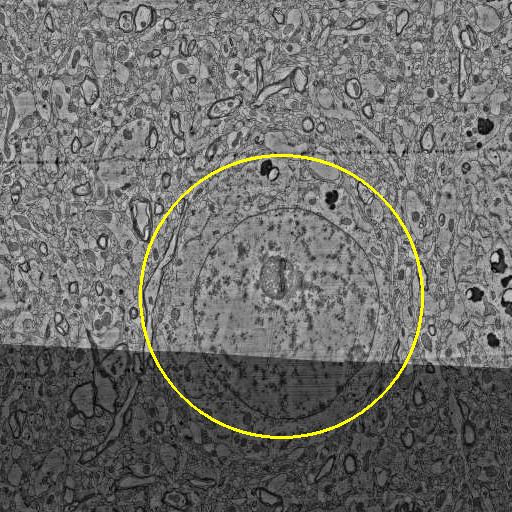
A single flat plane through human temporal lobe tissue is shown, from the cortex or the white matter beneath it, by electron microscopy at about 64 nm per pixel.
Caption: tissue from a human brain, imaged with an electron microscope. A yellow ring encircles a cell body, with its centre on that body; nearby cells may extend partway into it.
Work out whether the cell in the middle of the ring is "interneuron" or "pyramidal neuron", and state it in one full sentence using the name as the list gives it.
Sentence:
In the picture, the cell that the yellow ring surrounds at its centre is a pyramidal neuron.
